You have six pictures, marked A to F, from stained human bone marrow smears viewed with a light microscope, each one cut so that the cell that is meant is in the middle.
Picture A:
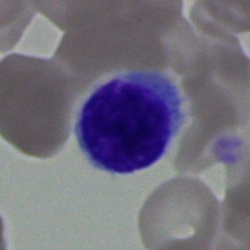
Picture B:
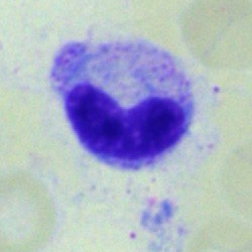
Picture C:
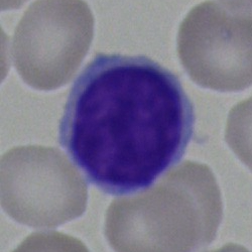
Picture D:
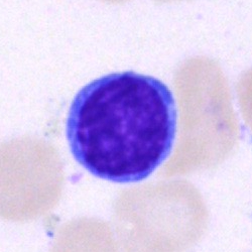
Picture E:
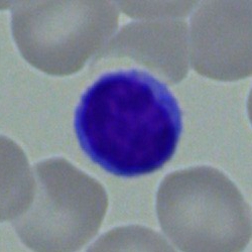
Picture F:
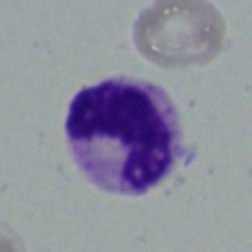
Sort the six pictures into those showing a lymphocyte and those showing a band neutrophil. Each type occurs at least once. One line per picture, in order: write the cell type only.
lymphocyte
band neutrophil
lymphocyte
lymphocyte
lymphocyte
band neutrophil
